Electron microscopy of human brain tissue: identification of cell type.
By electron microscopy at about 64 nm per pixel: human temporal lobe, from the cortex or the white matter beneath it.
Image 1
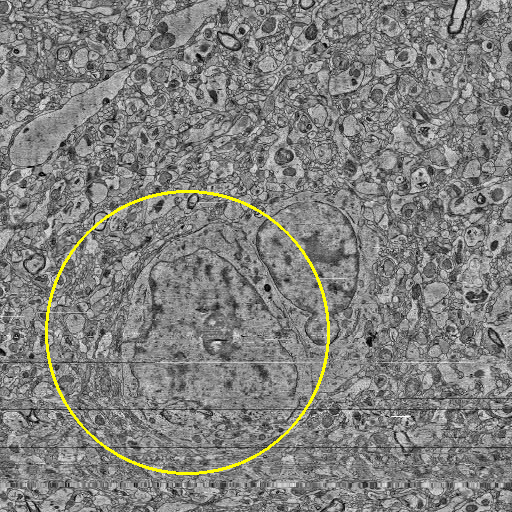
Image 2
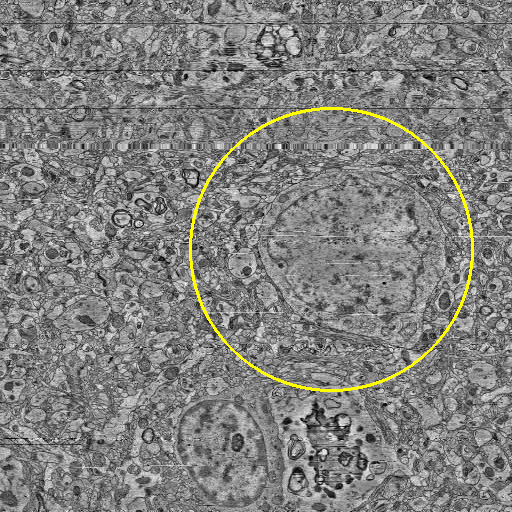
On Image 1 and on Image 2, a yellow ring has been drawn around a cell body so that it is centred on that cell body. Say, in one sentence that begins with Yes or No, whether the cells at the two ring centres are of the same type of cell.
Yes, both cells are the same type of cell.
